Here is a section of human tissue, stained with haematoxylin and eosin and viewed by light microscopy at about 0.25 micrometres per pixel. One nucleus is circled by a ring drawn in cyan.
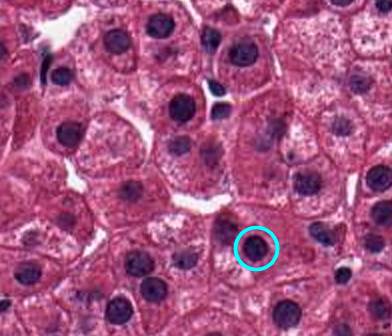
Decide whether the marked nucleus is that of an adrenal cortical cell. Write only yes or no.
yes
